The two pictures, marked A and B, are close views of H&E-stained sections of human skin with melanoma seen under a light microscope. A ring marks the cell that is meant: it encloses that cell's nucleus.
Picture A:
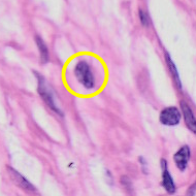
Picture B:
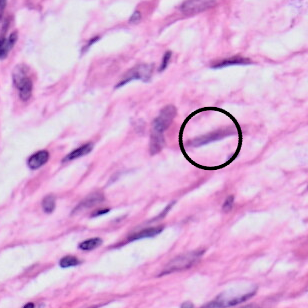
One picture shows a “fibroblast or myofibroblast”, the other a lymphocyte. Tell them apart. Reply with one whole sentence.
Picture B shows a “fibroblast or myofibroblast”, while picture A shows a lymphocyte.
